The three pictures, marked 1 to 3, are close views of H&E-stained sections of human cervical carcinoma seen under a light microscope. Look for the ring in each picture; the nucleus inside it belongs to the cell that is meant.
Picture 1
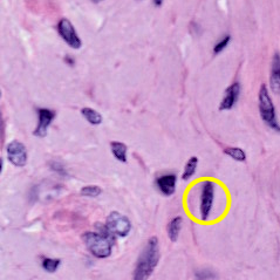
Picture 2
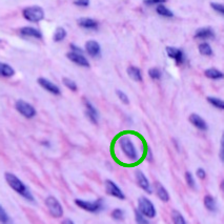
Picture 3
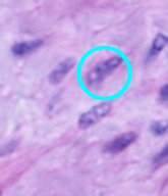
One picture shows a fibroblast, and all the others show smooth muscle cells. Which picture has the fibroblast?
1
